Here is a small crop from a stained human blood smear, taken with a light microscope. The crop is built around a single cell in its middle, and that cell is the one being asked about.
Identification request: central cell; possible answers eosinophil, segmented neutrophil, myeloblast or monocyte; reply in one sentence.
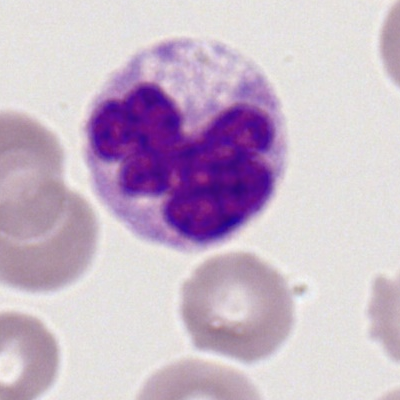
Here the cell in the middle is a monocyte.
